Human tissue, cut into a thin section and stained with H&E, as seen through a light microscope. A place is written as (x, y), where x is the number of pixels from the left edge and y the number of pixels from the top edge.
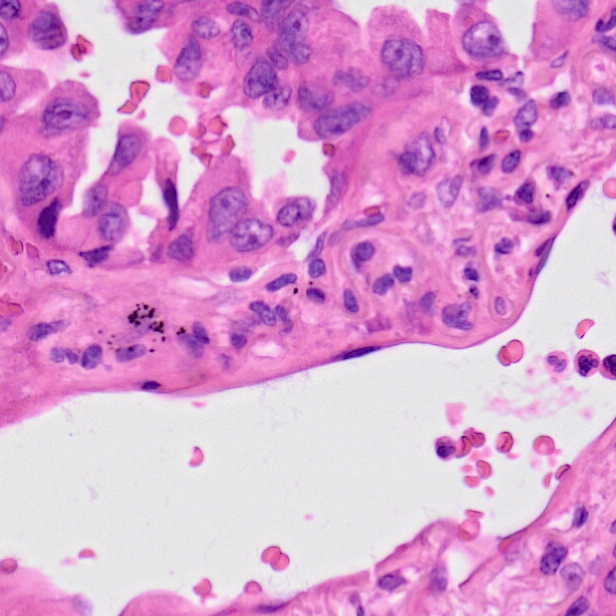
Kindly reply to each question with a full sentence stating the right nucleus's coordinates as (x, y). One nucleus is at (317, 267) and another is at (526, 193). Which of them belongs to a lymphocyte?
Between the pair, the nucleus at (317, 267) belongs to a lymphocyte.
